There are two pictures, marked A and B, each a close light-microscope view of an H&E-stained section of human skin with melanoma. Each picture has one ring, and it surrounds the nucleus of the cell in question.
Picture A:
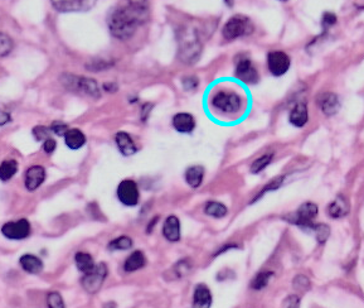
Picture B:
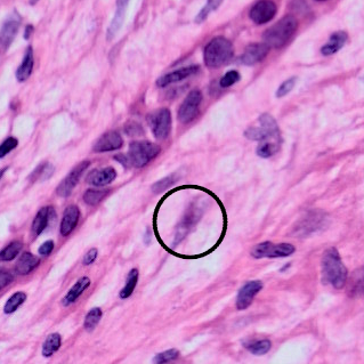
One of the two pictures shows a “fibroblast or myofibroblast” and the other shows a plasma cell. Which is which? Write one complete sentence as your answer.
Picture A is of a plasma cell, and picture B is of a “fibroblast or myofibroblast”.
